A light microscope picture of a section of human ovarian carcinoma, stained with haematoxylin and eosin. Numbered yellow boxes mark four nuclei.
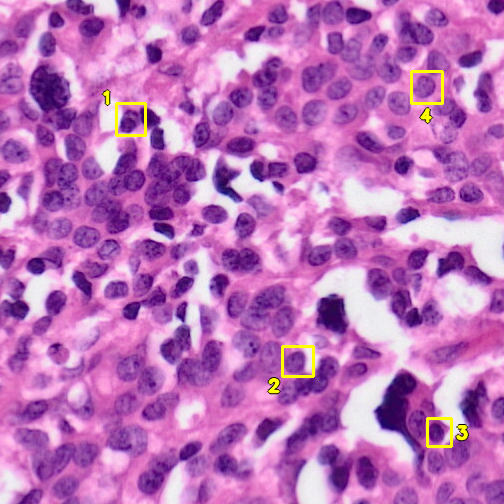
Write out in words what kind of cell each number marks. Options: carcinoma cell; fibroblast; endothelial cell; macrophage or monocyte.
Cell 1 is a carcinoma cell, cell 2 is a carcinoma cell, cell 3 is a carcinoma cell and cell 4 is a macrophage or monocyte.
